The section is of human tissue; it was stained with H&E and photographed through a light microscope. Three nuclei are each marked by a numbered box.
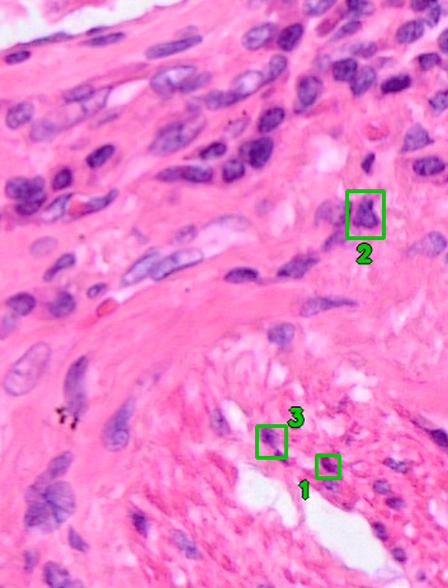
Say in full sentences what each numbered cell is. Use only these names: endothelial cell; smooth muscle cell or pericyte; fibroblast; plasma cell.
Cells 1 and 3 are smooth muscle cells or pericytes. Cell 2 is a plasma cell.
